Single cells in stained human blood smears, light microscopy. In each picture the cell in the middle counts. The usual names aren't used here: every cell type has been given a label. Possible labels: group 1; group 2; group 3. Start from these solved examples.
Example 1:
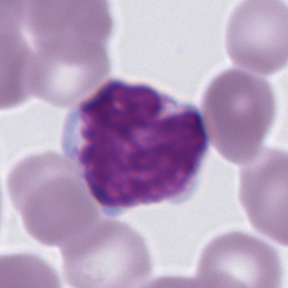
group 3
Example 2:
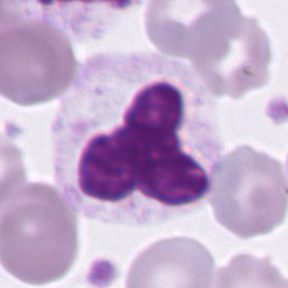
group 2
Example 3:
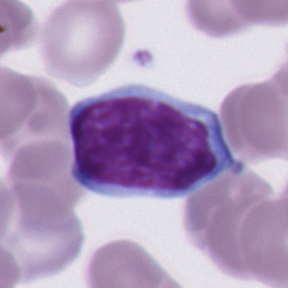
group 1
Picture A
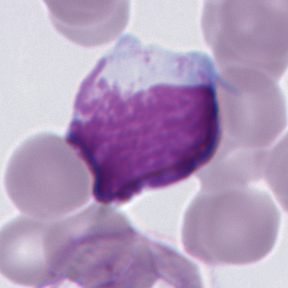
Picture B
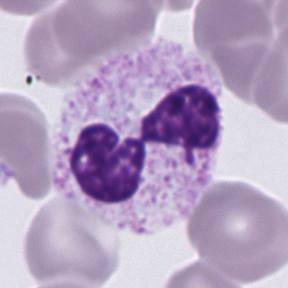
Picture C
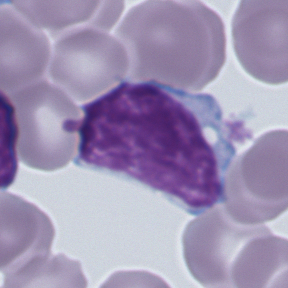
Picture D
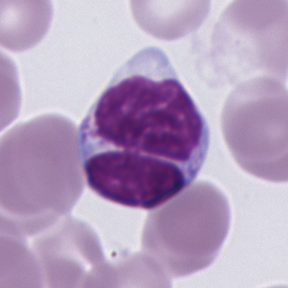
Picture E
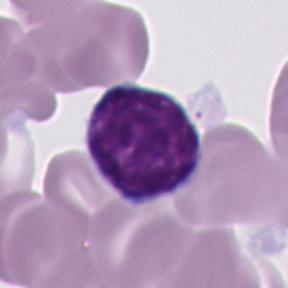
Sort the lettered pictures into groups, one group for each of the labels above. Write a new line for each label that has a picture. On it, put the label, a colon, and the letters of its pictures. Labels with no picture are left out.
group 1: C, E
group 2: B
group 3: A, D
